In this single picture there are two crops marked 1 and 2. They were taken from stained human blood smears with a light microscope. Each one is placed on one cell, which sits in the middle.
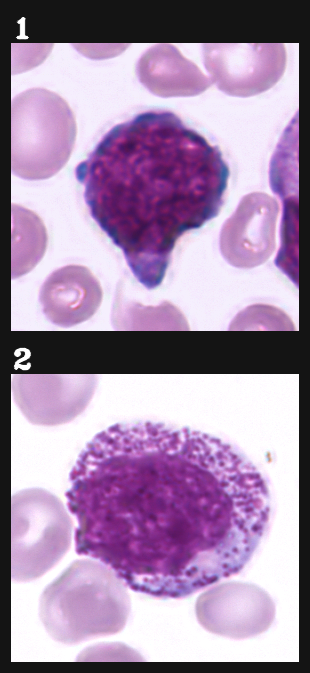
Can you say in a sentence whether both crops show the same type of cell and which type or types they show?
No, crop 1 depicts an atypical promyelocyte, and crop 2 depicts a myelocyte.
